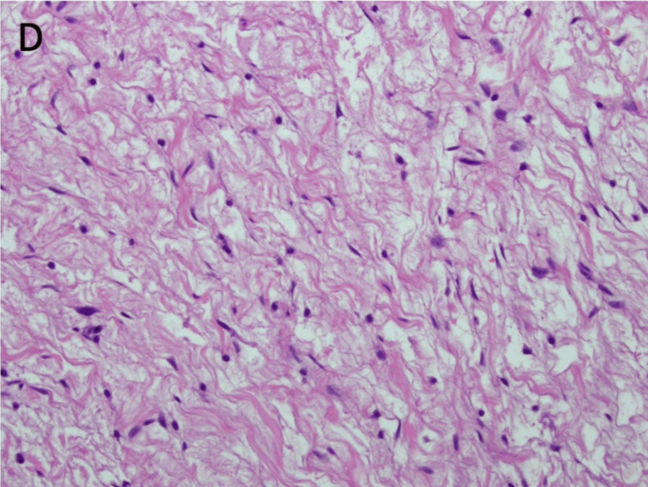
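This is a sparsely cellular nerve sheath tumor in which scattered spindle cells lie in a loose, pale background. The nuclei are thin, dark and often wavy or slightly curved. Delicate wavy pink collagen fibres run in many directions between the cells. Clear spaces between the fibres give the tissue a loose, watery look. The cells show no fascicular arrangement.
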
